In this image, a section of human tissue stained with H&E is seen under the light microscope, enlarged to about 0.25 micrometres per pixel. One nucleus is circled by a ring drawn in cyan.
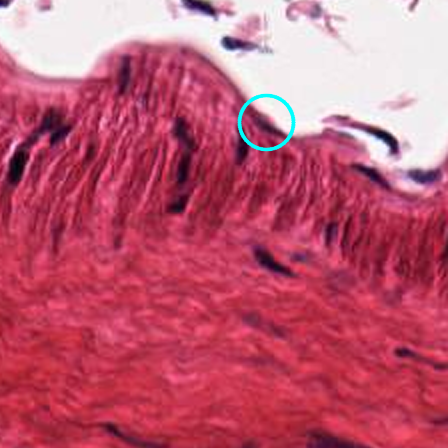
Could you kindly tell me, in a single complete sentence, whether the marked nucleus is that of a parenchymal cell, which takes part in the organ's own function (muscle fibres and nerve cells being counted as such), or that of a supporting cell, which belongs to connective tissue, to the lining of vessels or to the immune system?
The cell that the marked nucleus belongs to is a supporting cell.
